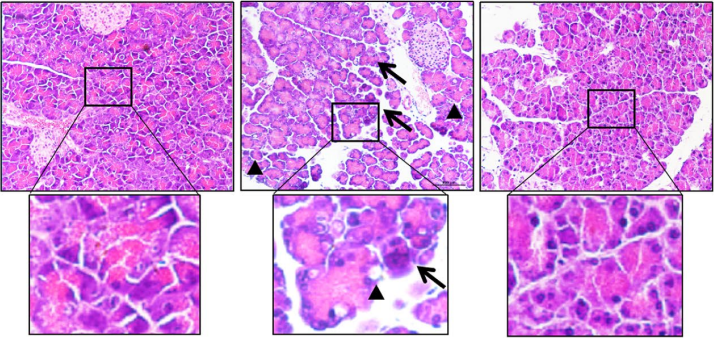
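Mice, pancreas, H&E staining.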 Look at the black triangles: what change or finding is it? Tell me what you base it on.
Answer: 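Tissue vacuoles. The triangles lie at pale, clear unstained spaces within the tissue. The middle section has many empty gaps between and within acini.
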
